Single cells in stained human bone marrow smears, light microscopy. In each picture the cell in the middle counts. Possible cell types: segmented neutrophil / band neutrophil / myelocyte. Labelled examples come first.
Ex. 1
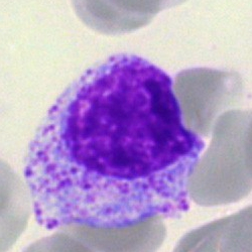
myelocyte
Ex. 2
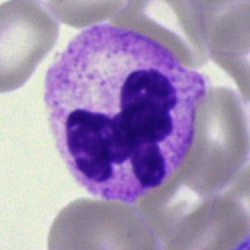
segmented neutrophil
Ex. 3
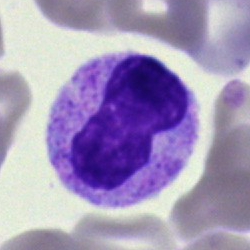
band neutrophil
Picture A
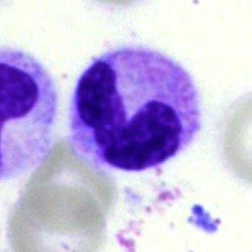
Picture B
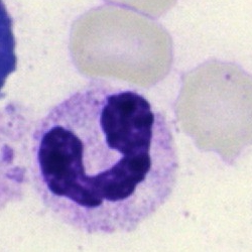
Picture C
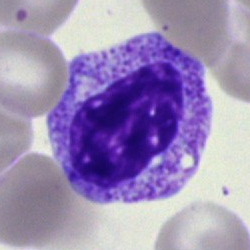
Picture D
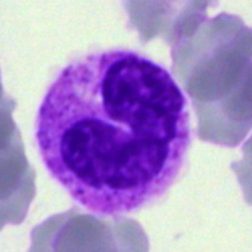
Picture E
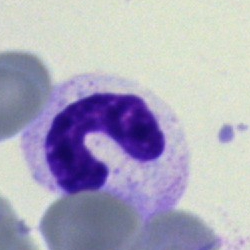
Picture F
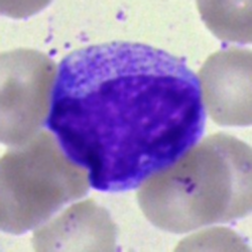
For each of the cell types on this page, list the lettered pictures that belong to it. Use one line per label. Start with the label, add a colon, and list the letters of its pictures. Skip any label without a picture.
segmented neutrophil: B
band neutrophil: A, D, E
myelocyte: C, F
